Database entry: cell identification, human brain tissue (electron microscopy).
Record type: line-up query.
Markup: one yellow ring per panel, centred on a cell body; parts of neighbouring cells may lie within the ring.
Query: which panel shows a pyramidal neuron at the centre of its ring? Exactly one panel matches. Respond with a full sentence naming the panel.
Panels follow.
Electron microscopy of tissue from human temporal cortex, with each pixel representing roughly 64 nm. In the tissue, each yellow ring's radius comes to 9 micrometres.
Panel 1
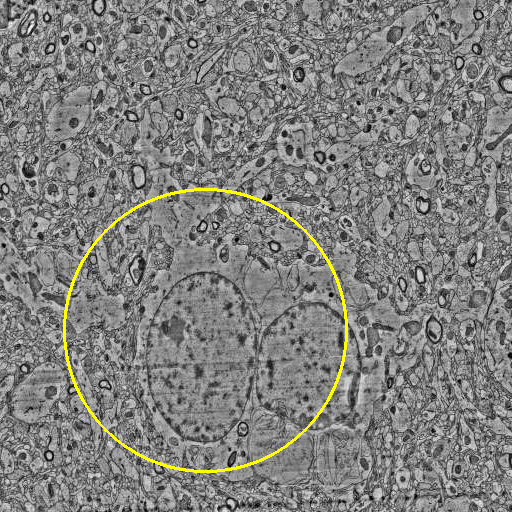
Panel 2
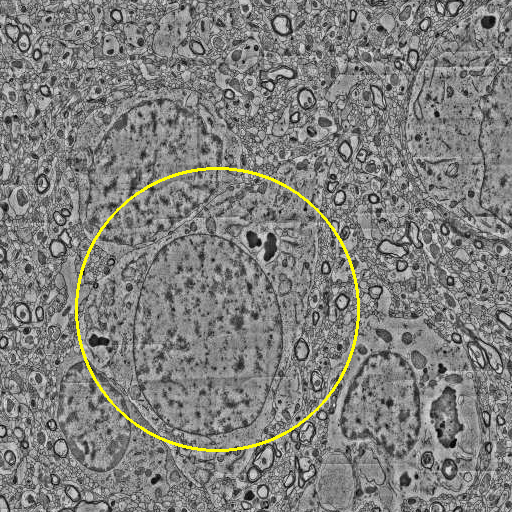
Panel 2 shows it at the centre of the ring.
